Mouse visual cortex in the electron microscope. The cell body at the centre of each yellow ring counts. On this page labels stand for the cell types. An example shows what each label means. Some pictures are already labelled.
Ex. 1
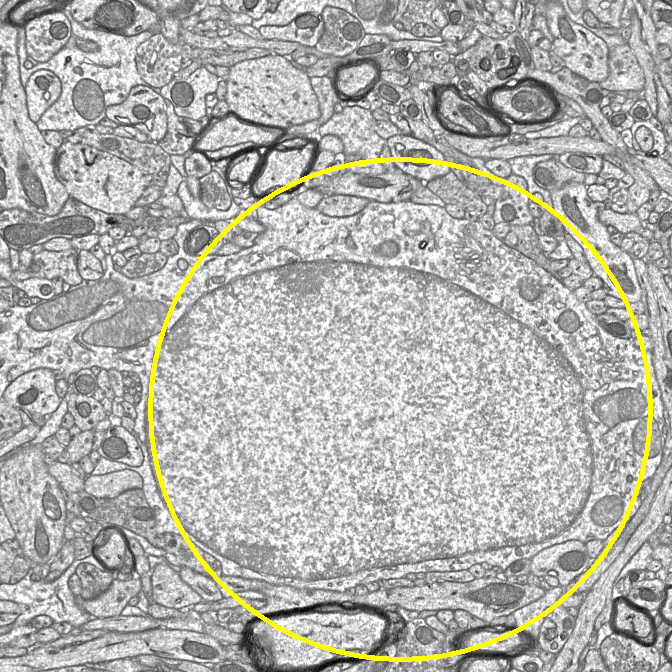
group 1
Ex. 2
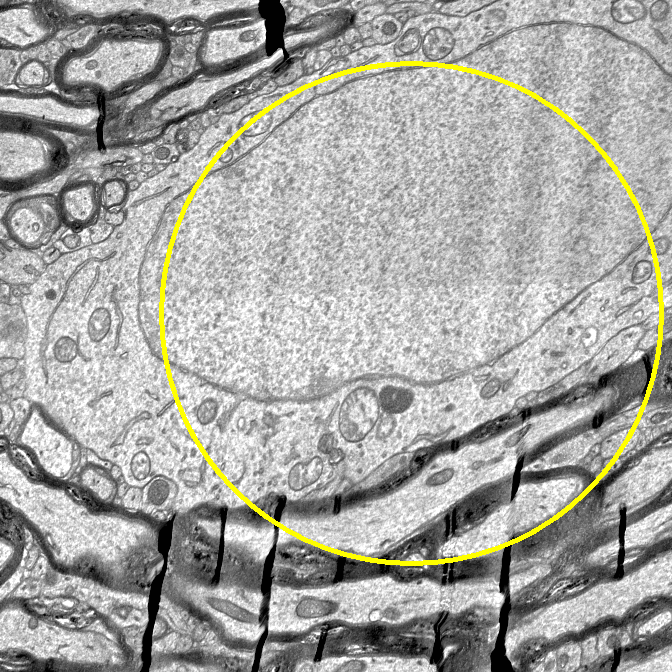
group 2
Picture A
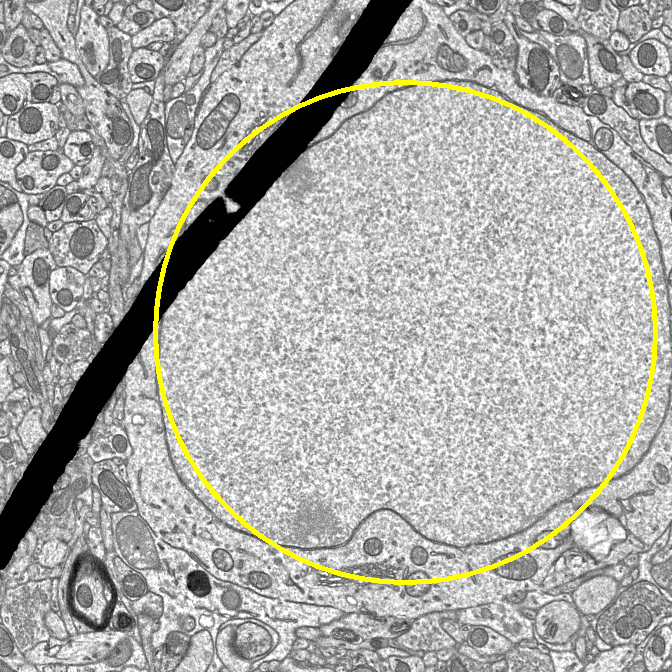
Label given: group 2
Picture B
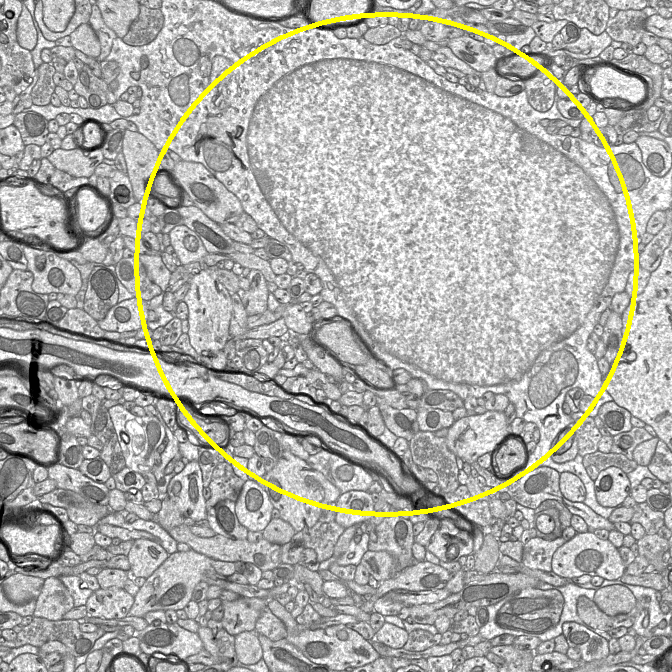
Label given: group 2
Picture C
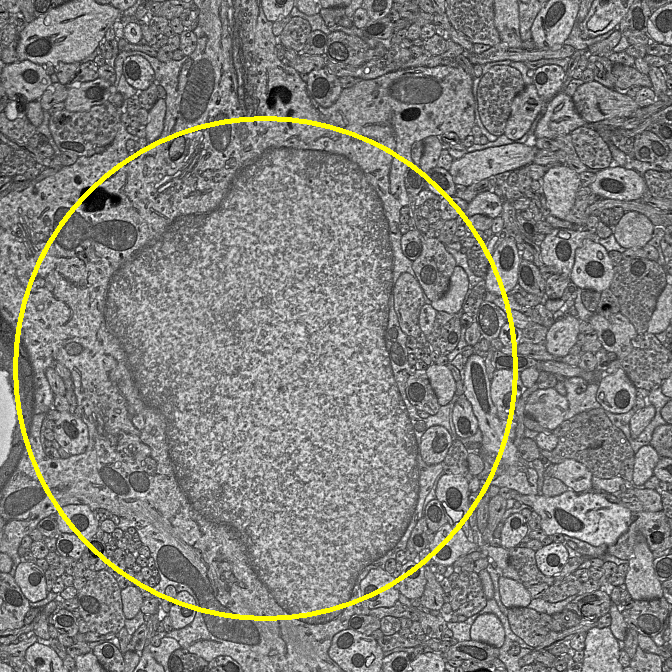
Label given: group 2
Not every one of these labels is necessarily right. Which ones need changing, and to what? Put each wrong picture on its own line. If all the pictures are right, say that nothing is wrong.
B is labelled group 2; correct label: group 1
C is labelled group 2; correct label: group 1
